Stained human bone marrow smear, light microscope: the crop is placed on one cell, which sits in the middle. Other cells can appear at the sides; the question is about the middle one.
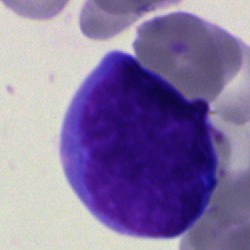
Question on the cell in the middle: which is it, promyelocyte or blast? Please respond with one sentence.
The cell of interest, in the center, is a blast.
